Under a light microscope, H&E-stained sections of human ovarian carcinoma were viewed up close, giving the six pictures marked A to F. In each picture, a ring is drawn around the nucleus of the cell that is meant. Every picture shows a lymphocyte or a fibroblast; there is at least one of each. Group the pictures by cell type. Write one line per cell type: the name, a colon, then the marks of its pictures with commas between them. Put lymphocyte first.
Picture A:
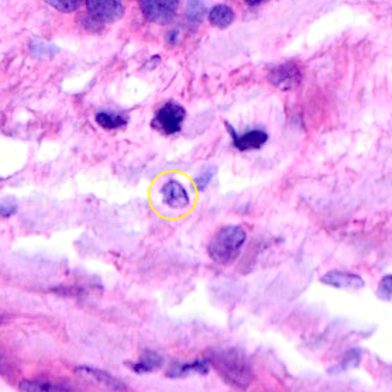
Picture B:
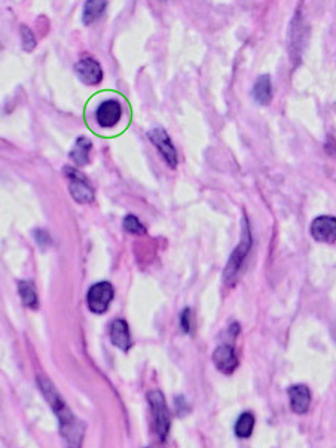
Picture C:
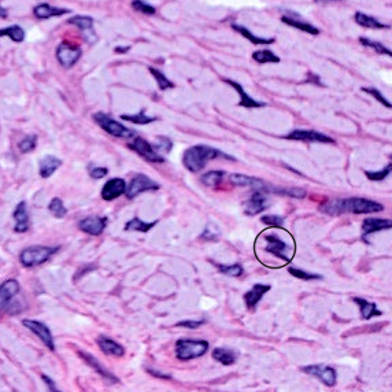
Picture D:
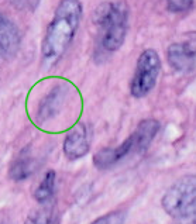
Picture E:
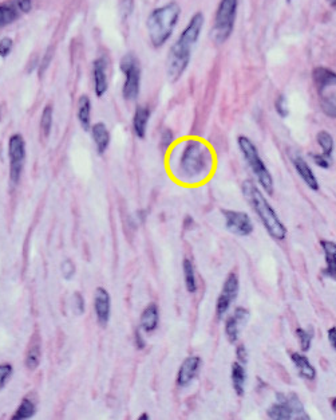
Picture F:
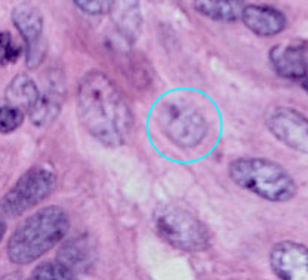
lymphocyte: A, B
fibroblast: C, D, E, F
